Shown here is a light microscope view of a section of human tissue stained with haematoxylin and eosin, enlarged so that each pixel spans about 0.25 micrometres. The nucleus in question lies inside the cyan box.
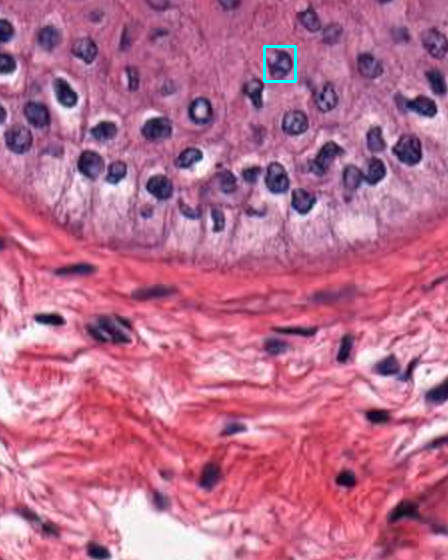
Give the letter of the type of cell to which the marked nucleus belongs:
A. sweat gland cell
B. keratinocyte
B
